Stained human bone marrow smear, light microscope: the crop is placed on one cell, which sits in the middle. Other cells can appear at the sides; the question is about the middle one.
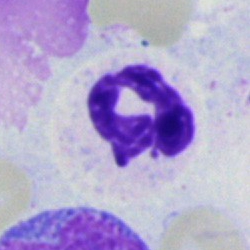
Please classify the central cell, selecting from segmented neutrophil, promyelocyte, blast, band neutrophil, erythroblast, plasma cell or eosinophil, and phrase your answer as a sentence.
Answering briefly, the cell in the middle is a segmented neutrophil.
